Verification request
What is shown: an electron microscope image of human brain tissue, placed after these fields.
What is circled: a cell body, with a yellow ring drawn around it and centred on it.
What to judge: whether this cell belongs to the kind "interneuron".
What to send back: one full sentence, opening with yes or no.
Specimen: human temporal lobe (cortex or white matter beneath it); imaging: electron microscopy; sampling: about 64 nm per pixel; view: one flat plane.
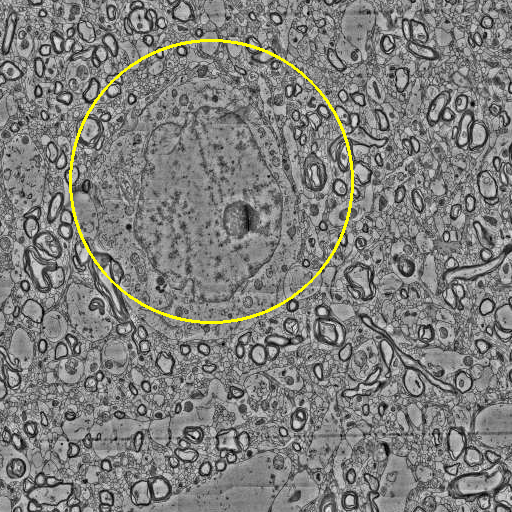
Yes, the cell on which the yellow ring is centred in the picture is of that kind.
